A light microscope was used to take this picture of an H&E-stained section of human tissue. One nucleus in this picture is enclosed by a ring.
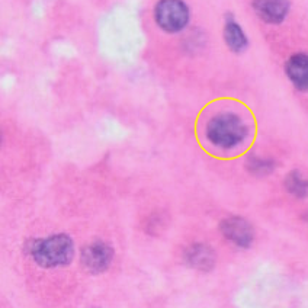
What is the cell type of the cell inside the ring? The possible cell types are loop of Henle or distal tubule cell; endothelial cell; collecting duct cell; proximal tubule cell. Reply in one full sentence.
The correct response here is that the cell inside the ring is a proximal tubule cell.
